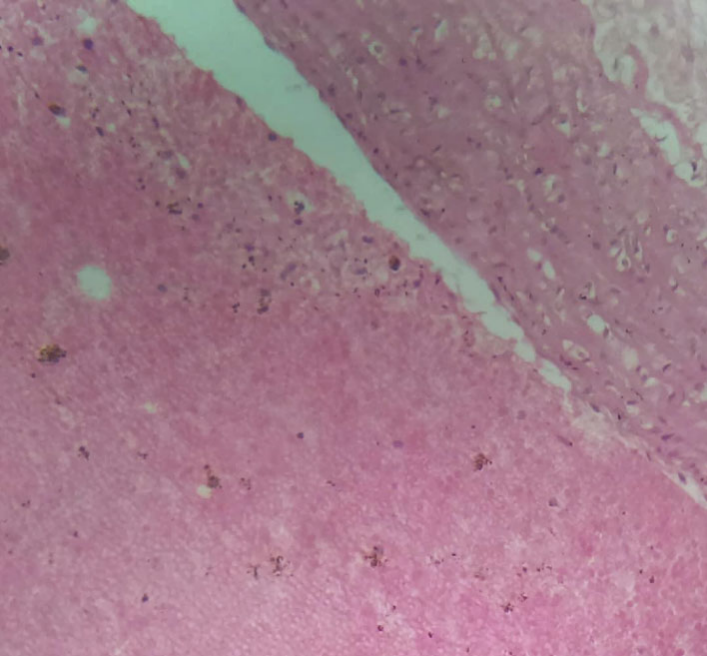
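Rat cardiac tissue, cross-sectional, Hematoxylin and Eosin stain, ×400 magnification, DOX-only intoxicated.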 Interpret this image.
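A narrow pale cleft runs diagonally across the upper right, separating the mass from a more cellular pink tissue containing many nuclei and small clear vacuole-like spaces. A small round clear space is also present within the pink mass on the left.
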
